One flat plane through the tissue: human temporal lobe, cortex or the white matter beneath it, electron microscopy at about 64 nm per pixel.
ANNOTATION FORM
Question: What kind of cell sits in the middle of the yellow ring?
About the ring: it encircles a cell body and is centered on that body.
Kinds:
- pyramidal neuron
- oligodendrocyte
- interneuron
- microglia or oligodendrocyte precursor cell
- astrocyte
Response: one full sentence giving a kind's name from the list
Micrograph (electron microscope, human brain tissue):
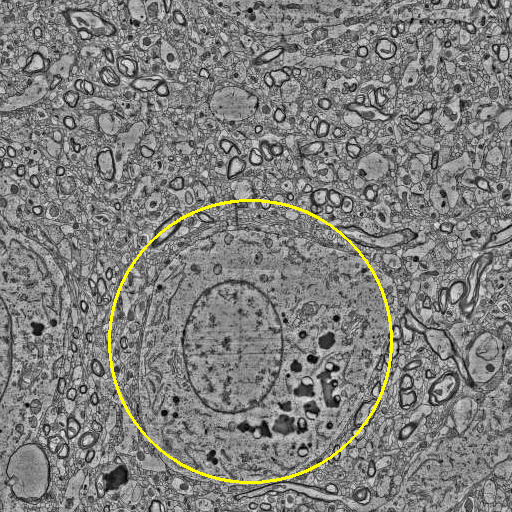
The kind of cell found at the center of the yellow ring in the micrograph is a pyramidal neuron.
